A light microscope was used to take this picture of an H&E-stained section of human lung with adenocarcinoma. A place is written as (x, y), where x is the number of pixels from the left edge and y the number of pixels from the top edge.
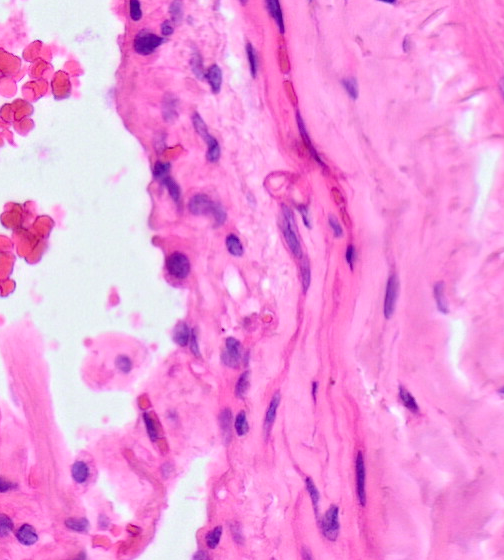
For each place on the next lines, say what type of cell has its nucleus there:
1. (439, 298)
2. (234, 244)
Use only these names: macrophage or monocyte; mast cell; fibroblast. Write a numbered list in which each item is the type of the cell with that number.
1. fibroblast
2. mast cell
